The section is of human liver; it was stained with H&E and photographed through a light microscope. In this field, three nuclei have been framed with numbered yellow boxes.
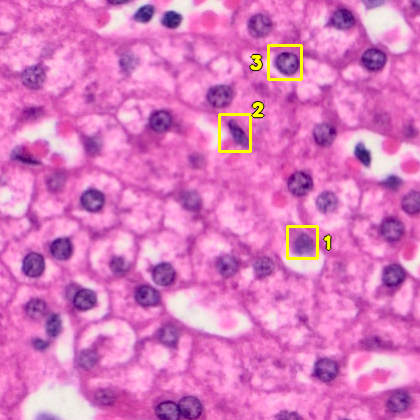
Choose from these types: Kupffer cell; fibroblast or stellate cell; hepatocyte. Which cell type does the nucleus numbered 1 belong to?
Kupffer cell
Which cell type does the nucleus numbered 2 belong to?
fibroblast or stellate cell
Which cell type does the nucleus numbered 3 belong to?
hepatocyte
